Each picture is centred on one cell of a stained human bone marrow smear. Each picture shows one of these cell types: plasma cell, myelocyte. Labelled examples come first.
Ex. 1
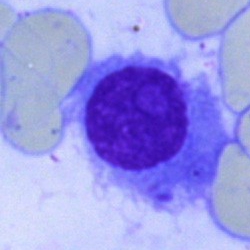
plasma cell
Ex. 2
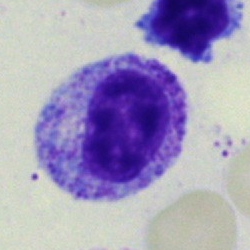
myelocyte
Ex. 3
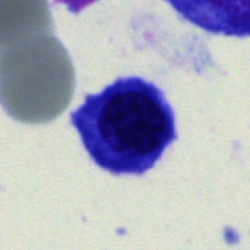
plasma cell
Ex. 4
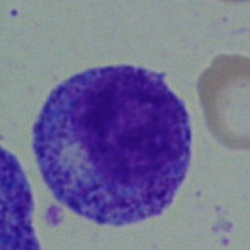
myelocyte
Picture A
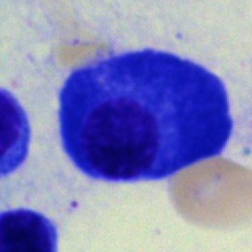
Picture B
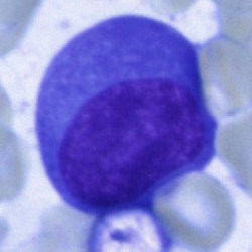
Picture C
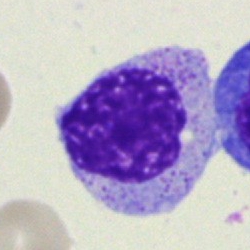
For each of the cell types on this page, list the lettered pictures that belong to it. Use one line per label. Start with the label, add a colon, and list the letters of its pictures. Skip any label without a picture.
plasma cell: A, B
myelocyte: C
